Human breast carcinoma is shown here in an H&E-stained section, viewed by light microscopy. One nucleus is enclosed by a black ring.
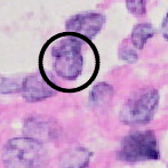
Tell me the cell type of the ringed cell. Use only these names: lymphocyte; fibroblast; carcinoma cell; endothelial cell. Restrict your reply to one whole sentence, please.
At the level of cell identity, the ringed cell is a carcinoma cell.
